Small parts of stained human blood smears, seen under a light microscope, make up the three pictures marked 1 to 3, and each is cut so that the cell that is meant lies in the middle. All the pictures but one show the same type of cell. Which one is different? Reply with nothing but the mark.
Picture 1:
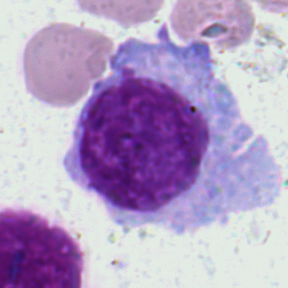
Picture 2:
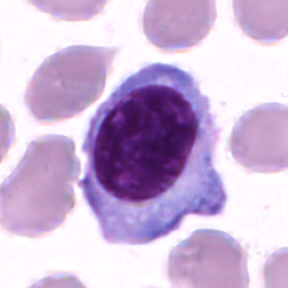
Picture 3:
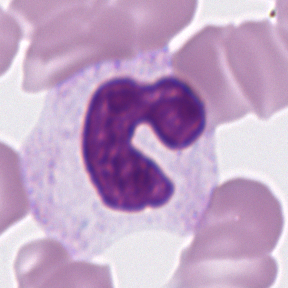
3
